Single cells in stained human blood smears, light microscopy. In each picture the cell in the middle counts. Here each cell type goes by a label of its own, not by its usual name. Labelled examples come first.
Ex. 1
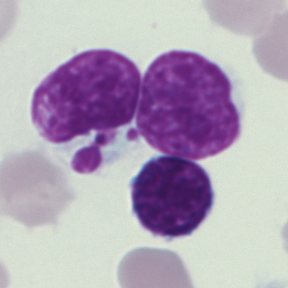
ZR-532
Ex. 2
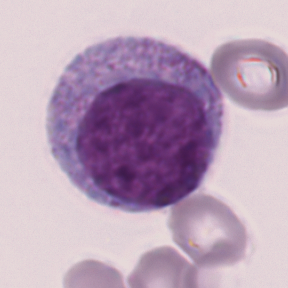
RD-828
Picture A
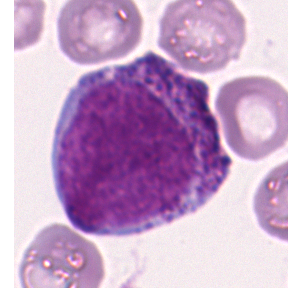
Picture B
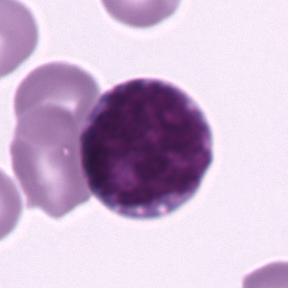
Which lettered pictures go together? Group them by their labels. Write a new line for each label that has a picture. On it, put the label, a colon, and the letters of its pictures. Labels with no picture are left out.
ZR-532: B
RD-828: A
